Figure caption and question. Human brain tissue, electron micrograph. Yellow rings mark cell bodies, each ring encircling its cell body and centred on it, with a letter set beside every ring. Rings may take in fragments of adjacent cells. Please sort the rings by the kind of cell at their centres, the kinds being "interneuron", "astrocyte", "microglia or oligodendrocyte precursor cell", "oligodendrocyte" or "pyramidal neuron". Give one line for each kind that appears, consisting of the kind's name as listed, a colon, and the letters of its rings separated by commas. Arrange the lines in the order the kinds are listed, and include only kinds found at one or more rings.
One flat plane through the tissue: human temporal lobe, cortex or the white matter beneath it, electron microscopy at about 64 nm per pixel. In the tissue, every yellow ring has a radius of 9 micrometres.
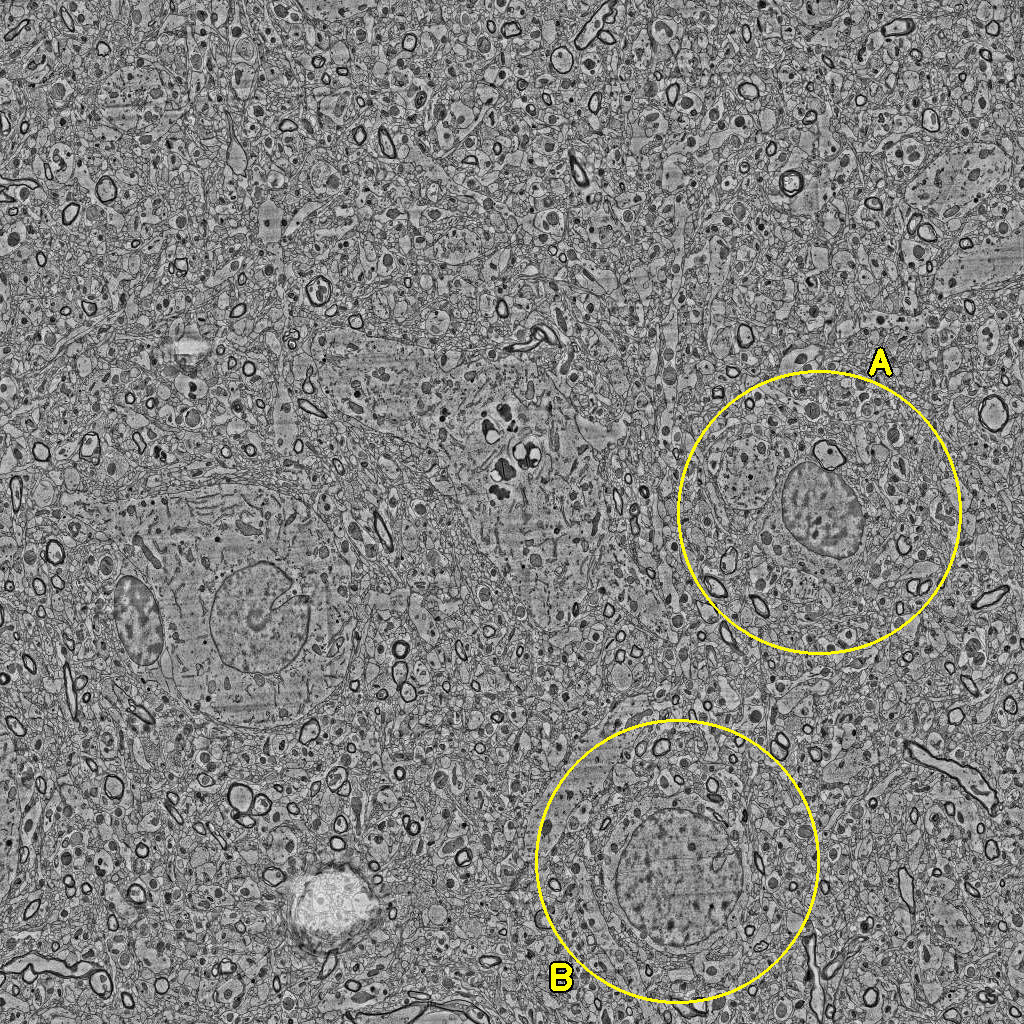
interneuron: B
oligodendrocyte: A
